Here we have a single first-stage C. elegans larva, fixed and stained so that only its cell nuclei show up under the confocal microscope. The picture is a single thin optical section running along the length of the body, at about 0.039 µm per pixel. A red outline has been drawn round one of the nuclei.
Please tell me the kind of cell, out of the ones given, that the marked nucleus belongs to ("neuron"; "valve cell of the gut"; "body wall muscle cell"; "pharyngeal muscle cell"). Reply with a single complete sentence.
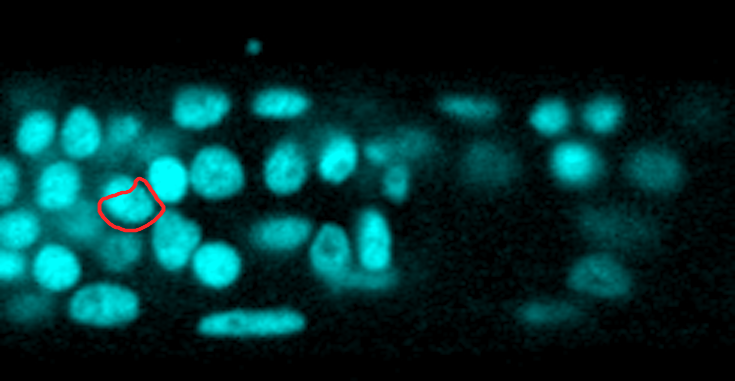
The cell with the marked nucleus is a pharyngeal muscle cell.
